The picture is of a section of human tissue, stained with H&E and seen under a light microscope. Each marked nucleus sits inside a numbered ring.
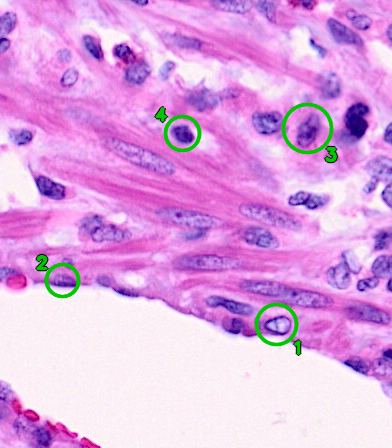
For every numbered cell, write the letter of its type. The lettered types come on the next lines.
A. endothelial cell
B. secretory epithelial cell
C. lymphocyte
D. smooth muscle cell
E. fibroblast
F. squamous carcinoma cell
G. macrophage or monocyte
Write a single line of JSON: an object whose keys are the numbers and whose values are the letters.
{"1": "A", "2": "A", "3": "G", "4": "C"}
